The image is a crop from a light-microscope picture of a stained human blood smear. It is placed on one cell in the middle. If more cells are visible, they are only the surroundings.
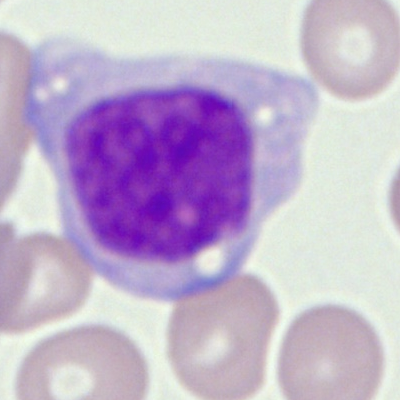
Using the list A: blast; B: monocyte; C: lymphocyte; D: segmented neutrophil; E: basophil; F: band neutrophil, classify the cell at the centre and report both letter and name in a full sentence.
Option B is the right choice, the central cell being a monocyte.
